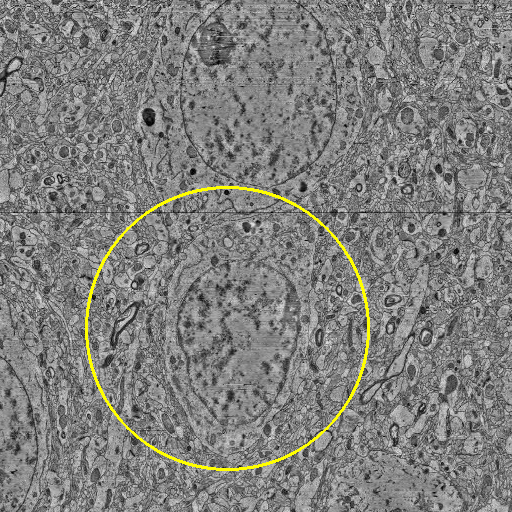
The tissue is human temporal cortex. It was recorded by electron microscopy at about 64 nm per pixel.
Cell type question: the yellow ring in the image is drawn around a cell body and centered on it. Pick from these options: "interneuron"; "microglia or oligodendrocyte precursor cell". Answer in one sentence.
The ringed cell at the center is an interneuron.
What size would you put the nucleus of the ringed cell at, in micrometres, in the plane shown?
In this plane the nucleus spans approximately 11 by 8 micrometers.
